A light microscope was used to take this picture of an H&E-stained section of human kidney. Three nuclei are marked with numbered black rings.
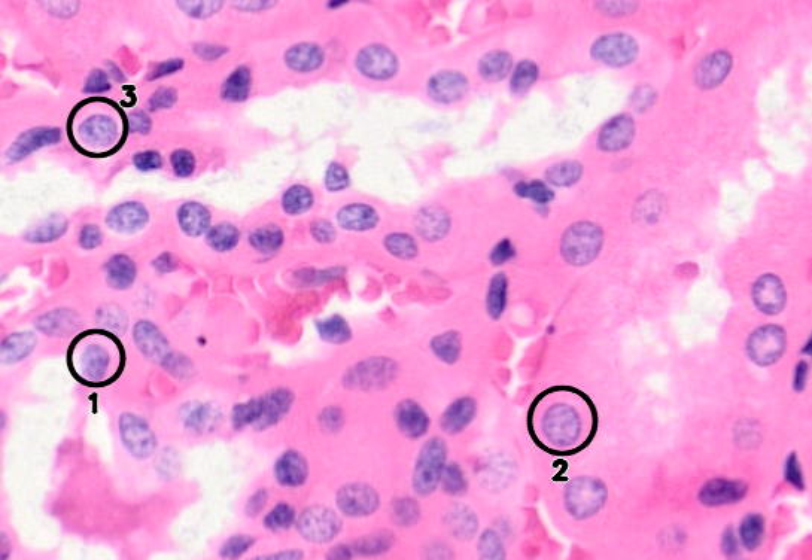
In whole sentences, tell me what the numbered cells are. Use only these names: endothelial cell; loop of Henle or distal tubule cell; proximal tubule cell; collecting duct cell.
Cell 1 is a collecting duct cell, cell 2 is a proximal tubule cell and cell 3 is a collecting duct cell.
